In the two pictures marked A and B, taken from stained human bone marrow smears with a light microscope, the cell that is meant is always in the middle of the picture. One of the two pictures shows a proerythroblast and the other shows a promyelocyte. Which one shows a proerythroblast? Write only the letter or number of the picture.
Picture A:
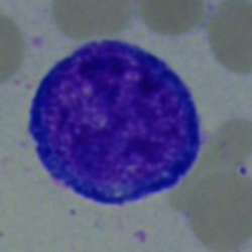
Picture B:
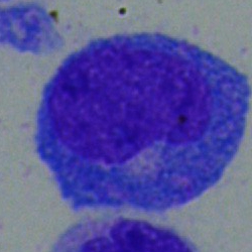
A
